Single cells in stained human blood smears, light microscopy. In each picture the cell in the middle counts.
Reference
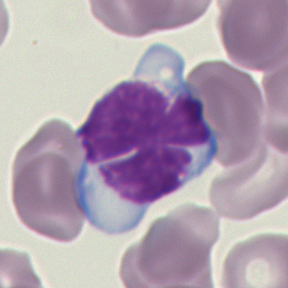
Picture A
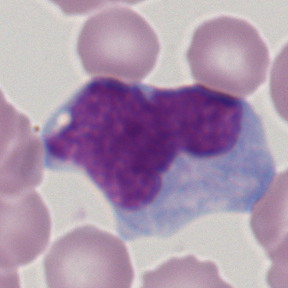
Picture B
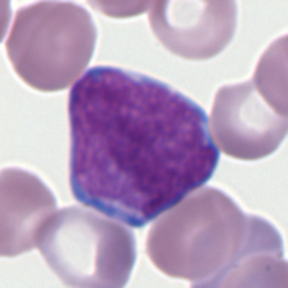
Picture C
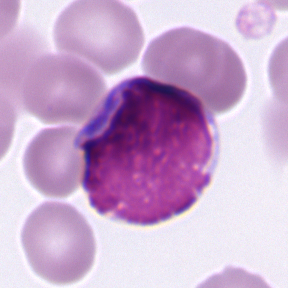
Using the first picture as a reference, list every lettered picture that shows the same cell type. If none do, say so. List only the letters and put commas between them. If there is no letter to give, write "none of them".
B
